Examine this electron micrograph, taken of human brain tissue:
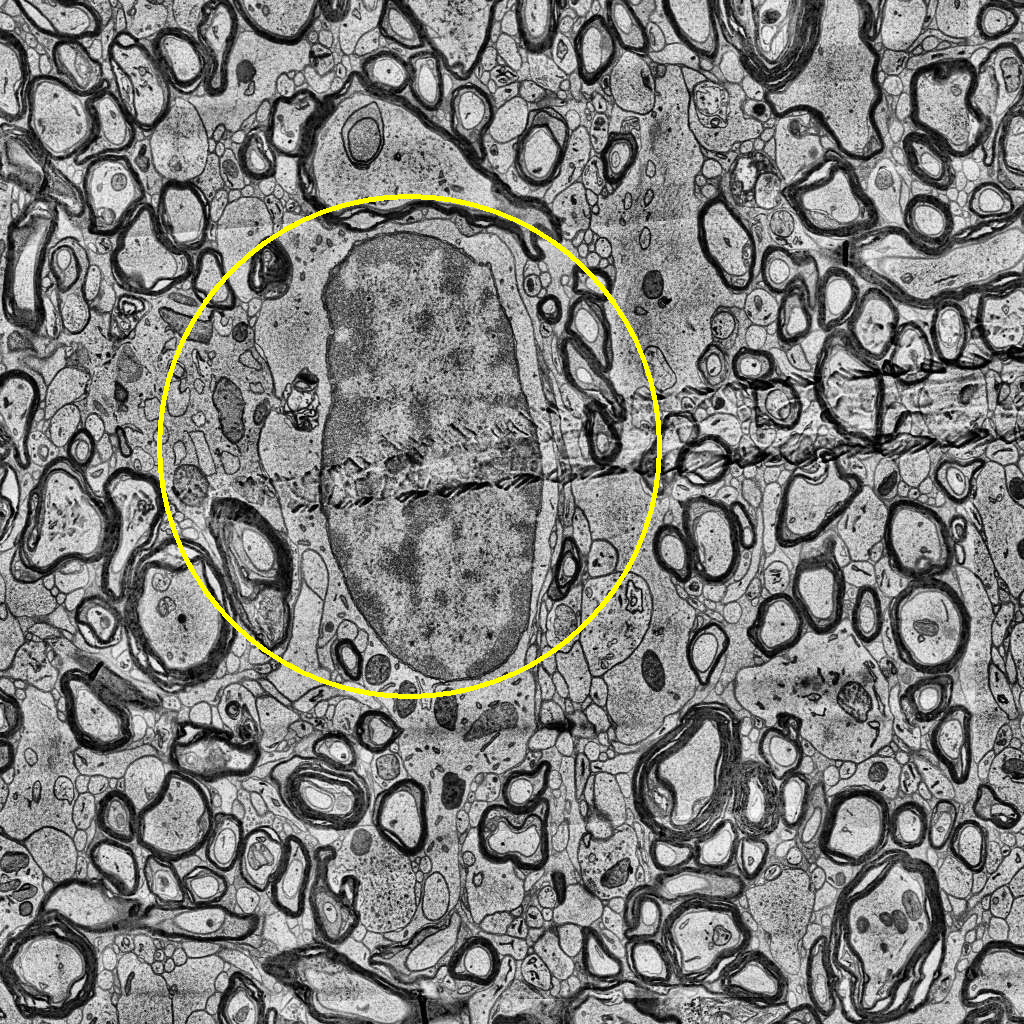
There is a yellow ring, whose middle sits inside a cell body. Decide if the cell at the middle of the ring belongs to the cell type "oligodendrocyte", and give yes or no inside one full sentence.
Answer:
No, the cell at the centre of the yellow ring in this picture is of a different type.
